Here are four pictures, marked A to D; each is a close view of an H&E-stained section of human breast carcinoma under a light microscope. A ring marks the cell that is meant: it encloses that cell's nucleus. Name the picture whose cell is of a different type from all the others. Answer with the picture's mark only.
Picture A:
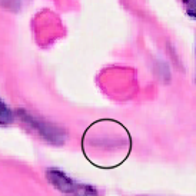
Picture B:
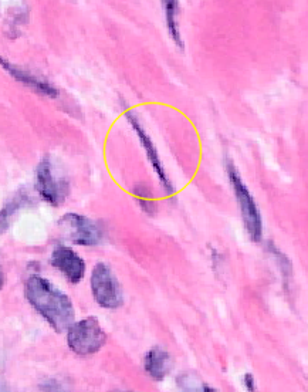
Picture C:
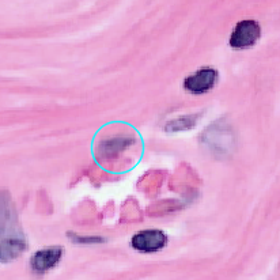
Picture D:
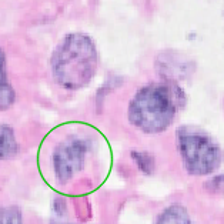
B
